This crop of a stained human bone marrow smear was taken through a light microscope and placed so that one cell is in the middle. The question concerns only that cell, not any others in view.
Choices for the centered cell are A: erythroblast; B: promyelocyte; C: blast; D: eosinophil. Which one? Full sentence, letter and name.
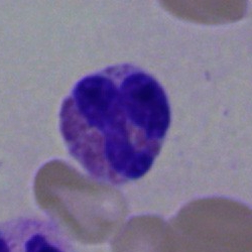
In this crop the central cell is an eosinophil, which option D correctly states.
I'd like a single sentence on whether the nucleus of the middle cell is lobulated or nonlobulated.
You can count two or more lobes in this nucleus.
